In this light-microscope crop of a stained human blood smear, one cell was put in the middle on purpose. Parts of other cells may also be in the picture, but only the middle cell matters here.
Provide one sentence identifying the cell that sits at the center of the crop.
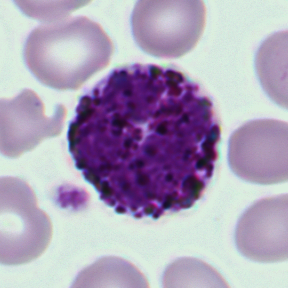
The middle position in this crop is taken by a basophil.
